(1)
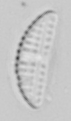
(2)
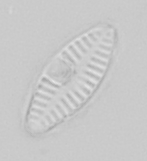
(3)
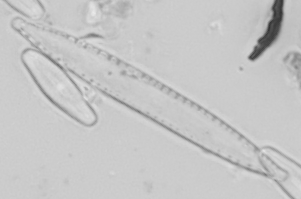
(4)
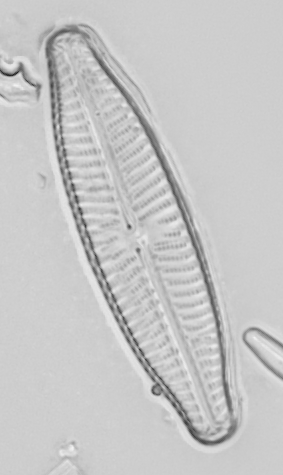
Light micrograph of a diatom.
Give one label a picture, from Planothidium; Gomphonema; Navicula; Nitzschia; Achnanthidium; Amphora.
1: Amphora
2: Planothidium
3: Nitzschia
4: Navicula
